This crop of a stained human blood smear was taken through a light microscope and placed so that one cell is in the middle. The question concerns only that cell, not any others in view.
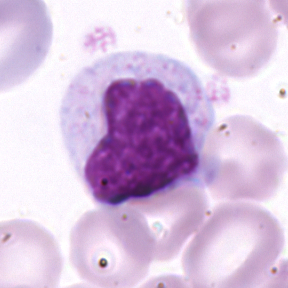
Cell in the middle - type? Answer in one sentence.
This particular crop is centered on a metamyelocyte.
